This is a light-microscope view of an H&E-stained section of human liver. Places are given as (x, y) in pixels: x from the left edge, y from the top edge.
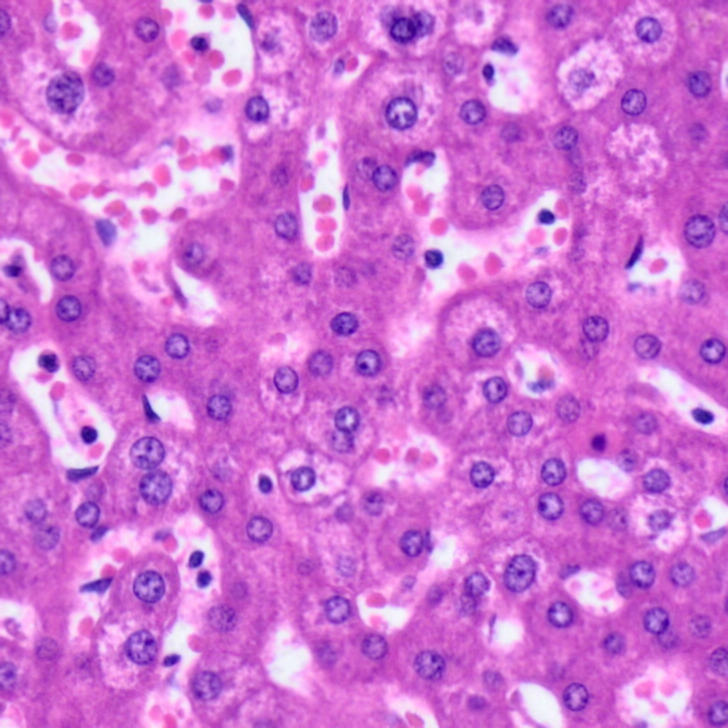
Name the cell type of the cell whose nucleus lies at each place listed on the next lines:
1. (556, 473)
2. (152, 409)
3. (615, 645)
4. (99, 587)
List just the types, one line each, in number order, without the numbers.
hepatocyte
endothelial cell
hepatocyte
endothelial cell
